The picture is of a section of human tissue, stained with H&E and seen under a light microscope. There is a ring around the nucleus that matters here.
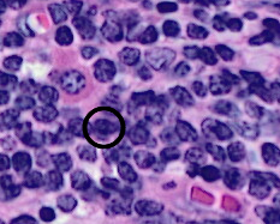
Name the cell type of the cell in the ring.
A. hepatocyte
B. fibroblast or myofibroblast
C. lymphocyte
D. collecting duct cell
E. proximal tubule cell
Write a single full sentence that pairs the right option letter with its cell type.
Option C is correct in stating that the cell in the ring is a lymphocyte.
